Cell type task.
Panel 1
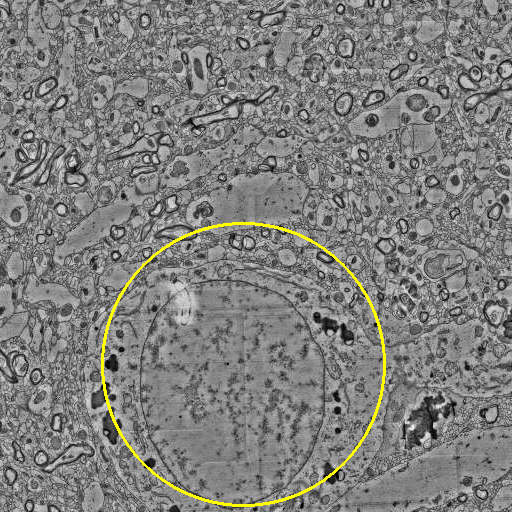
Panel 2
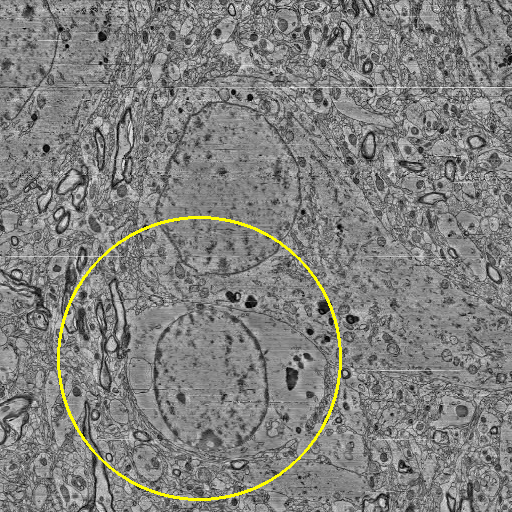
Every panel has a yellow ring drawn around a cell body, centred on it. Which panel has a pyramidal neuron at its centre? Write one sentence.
It sits at the centre of the ring in Panel 1.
